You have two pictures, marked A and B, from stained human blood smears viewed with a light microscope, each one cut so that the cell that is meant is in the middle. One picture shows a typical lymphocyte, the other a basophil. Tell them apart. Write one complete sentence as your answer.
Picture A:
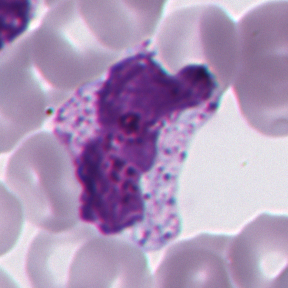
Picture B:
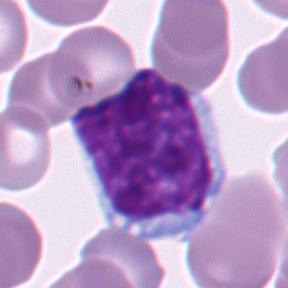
Picture A is of a basophil, and picture B is of a typical lymphocyte.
